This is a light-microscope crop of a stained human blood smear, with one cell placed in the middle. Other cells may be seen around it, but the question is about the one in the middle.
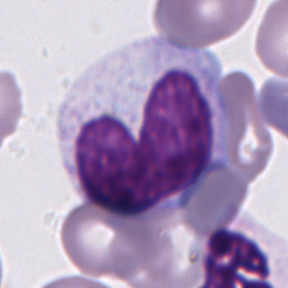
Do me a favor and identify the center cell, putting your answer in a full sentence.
The crop's centre is taken up by a metamyelocyte.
